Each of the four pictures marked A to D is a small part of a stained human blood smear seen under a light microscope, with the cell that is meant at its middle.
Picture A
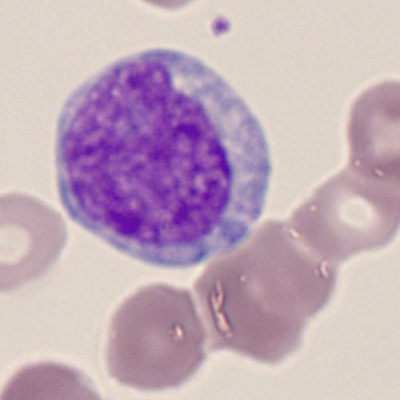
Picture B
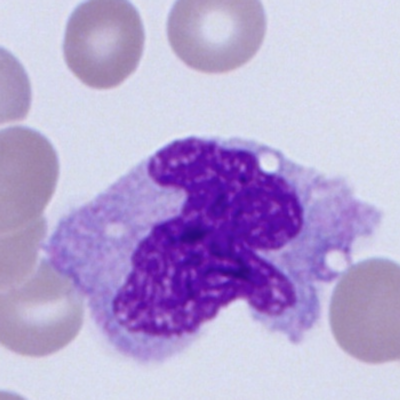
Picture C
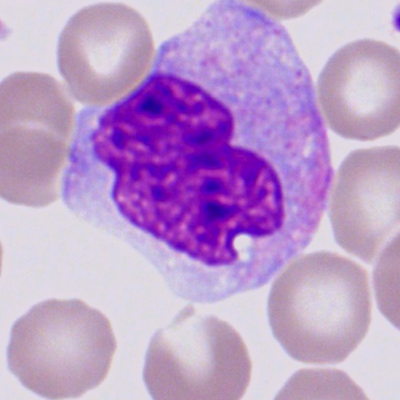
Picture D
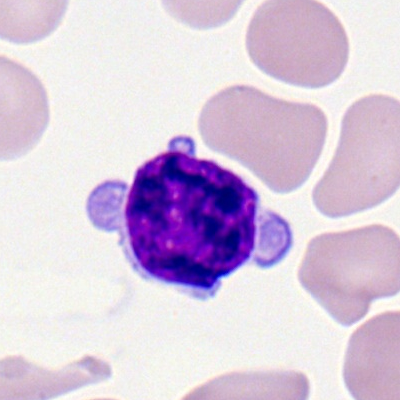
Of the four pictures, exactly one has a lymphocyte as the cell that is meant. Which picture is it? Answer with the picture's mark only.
D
